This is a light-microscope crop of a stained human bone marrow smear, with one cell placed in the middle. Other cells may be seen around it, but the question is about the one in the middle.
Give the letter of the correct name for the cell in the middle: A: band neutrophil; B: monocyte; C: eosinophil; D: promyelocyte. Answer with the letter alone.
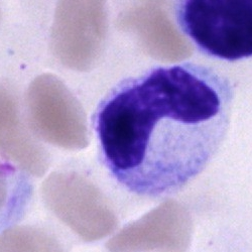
A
